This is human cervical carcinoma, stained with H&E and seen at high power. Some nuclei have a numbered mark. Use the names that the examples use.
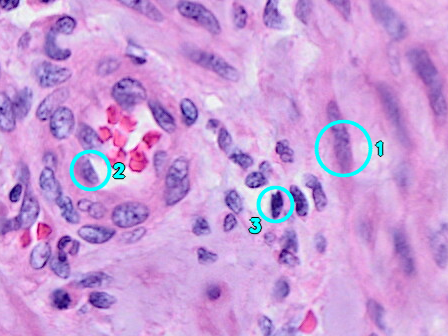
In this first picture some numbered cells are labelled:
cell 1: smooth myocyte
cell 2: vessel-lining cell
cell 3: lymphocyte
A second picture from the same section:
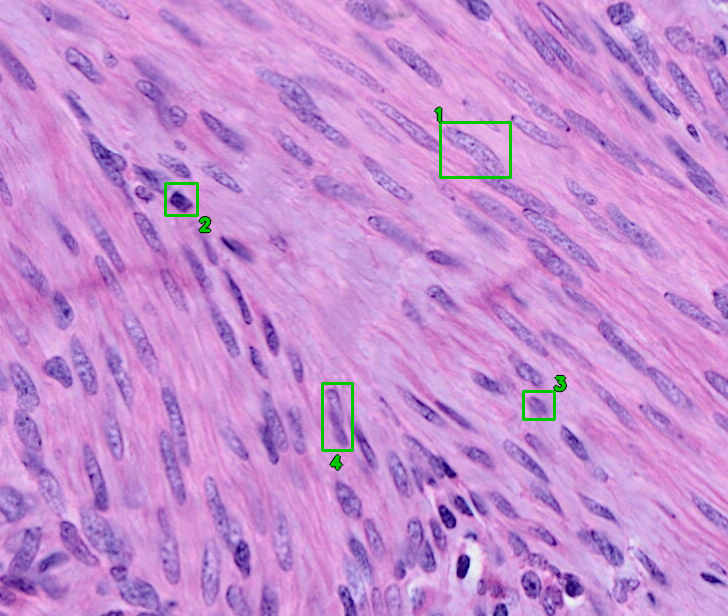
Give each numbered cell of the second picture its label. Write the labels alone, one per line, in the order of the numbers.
smooth myocyte
lymphocyte
smooth myocyte
smooth myocyte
